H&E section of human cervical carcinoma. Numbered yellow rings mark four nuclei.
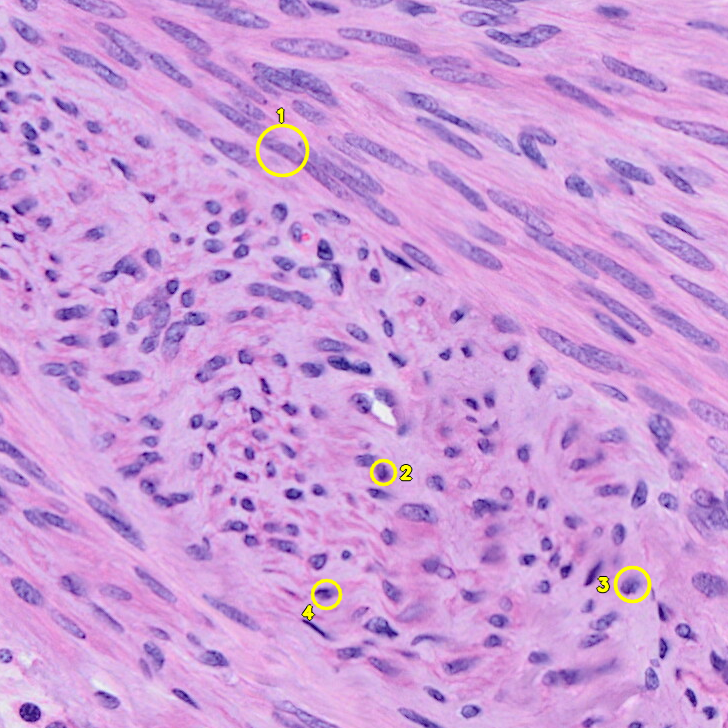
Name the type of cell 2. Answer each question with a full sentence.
The cell identified by the number 2 is a smooth muscle cell.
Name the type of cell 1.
The cell identified by number 1 is a smooth muscle cell.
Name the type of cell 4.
The one numbered 4 among the marked cells is a smooth muscle cell.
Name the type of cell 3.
The cell marked with number 3 is a fibroblast.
